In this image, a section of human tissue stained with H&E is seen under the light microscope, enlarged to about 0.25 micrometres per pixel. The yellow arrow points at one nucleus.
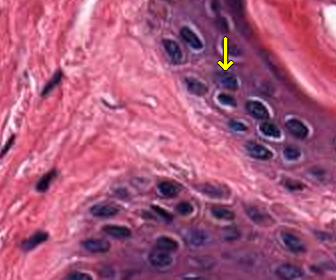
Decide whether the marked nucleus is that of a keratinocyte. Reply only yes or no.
yes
